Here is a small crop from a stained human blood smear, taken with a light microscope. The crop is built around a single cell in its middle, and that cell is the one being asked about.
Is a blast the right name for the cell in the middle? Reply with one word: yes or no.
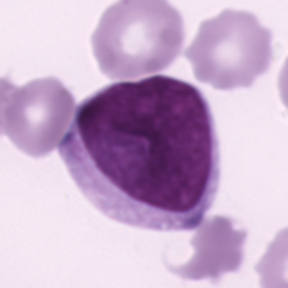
yes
